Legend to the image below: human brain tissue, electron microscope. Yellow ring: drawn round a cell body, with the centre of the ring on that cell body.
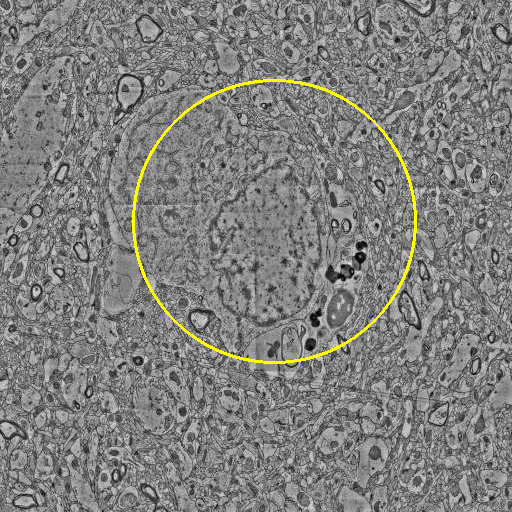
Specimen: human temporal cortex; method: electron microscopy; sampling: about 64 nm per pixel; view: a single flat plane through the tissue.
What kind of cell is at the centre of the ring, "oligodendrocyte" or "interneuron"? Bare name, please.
interneuron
